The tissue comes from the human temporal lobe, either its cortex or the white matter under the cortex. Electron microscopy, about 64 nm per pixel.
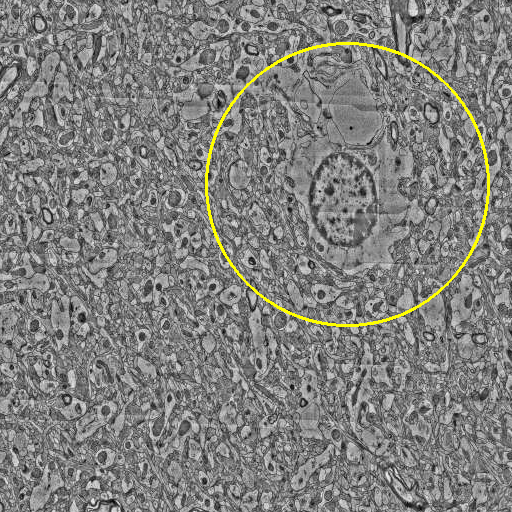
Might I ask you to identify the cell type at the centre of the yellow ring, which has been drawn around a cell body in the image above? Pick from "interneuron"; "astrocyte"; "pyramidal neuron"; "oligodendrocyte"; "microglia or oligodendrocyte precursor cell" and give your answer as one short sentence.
The centre of the ring falls on an astrocyte.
